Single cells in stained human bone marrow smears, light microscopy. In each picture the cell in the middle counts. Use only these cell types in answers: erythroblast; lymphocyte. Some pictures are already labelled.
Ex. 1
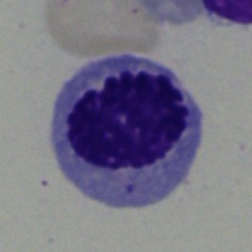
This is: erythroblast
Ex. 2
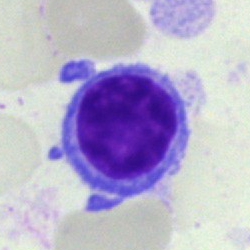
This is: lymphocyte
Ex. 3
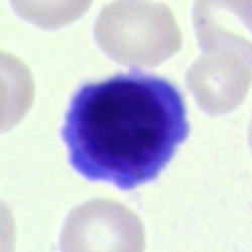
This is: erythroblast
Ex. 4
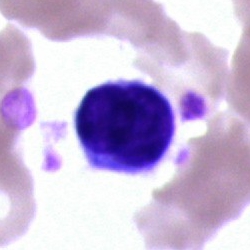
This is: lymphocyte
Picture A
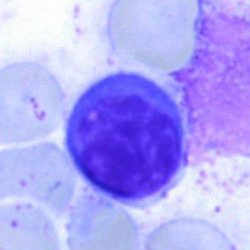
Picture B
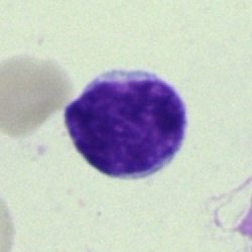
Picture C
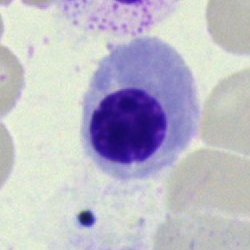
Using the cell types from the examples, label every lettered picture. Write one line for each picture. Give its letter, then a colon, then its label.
A: lymphocyte
B: lymphocyte
C: erythroblast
